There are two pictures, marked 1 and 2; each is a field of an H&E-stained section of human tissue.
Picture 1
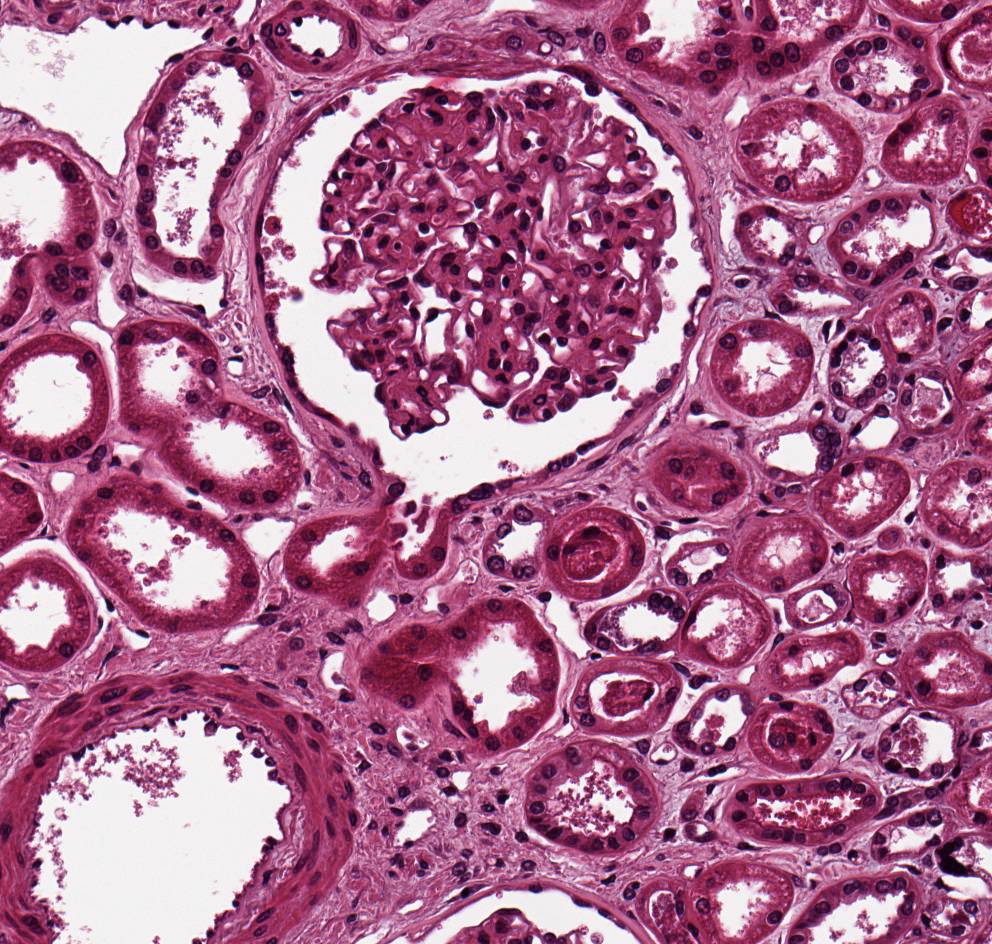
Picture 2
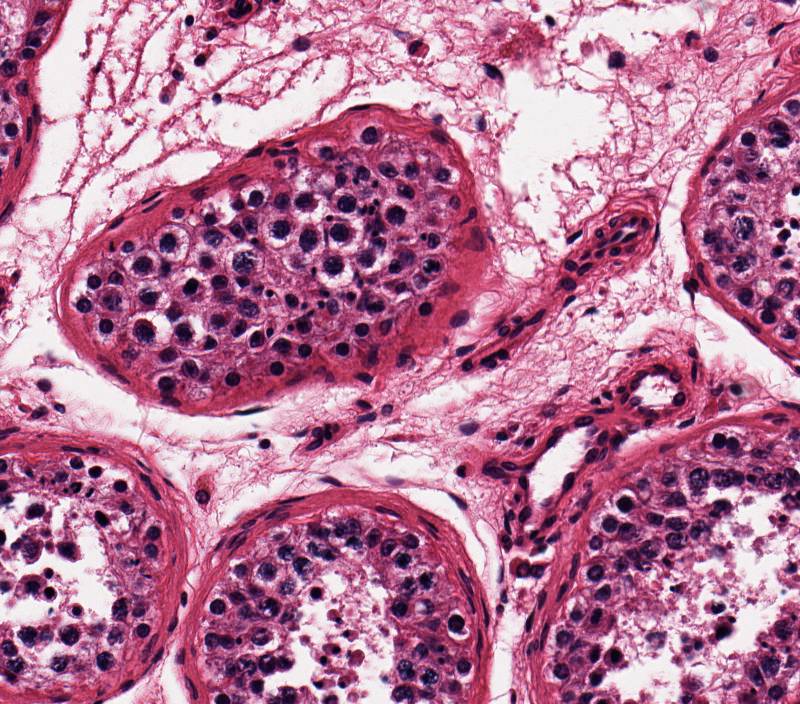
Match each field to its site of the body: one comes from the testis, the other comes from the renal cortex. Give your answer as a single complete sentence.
Picture 1 comes from the renal cortex and picture 2 comes from the testis.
